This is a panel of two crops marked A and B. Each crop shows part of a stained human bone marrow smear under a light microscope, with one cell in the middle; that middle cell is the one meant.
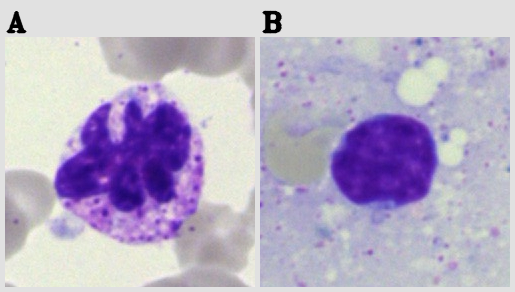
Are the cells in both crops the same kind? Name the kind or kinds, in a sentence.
No, the central cell of crop A is a basophil; that of crop B is a lymphocyte.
